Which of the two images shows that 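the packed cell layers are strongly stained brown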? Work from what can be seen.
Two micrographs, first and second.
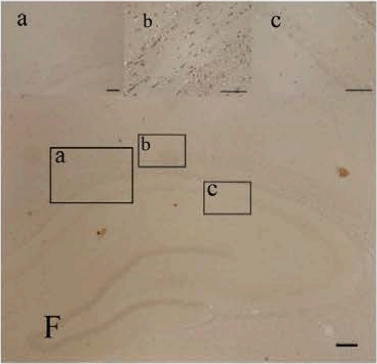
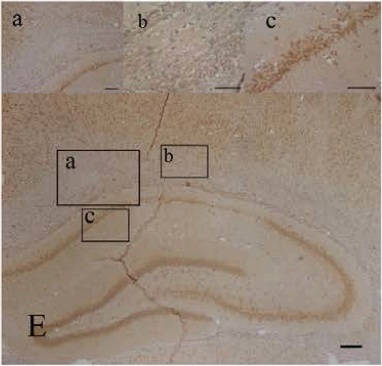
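First image: the cell layers are pale and barely stand out from the surrounding tissue. Second image: the curved cell layers are distinctly brown, and the surrounding tissue is also brownish. The answer: the second image.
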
